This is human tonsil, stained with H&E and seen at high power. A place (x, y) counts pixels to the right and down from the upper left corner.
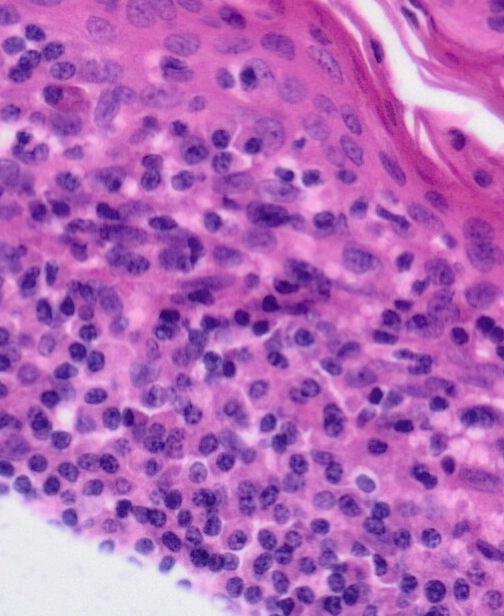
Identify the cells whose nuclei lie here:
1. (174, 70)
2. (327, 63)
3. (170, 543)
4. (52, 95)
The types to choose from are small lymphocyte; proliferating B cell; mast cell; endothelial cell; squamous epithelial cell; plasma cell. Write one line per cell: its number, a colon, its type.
1: squamous epithelial cell
2: squamous epithelial cell
3: plasma cell
4: plasma cell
